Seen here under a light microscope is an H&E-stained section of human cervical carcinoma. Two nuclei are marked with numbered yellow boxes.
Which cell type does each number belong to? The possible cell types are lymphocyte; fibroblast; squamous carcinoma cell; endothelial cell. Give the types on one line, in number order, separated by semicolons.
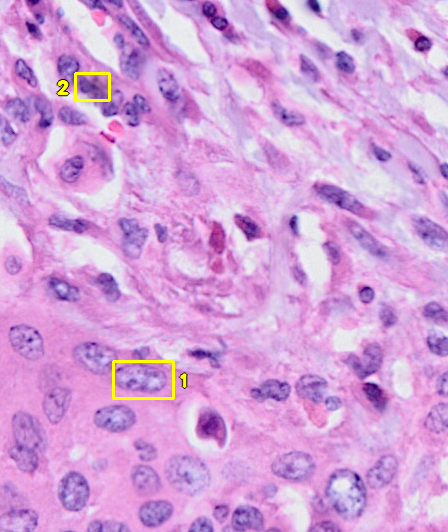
squamous carcinoma cell; endothelial cell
